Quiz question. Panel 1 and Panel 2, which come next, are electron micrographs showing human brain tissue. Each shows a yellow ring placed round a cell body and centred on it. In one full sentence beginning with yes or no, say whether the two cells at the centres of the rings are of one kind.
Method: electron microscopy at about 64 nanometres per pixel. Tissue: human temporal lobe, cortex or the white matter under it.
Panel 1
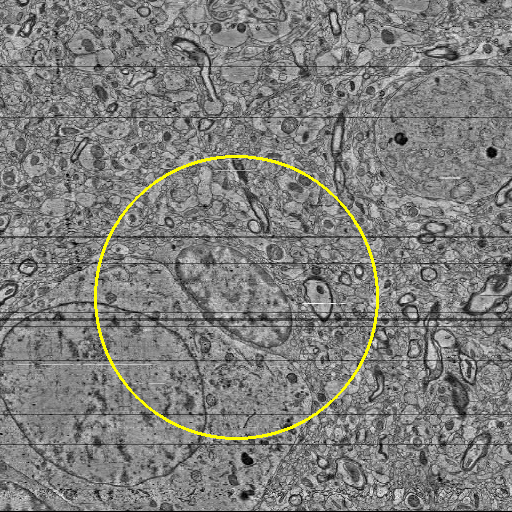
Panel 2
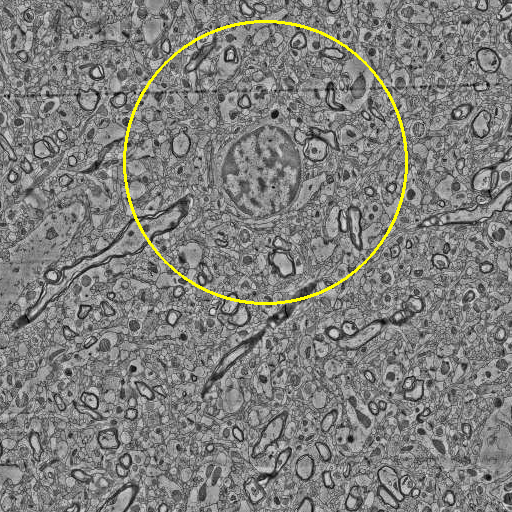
Yes, Panel 1 and Panel 2 show one kind of cell at the centre of the ring.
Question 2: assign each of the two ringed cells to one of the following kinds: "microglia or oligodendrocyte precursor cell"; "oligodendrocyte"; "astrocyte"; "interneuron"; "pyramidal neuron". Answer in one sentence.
Each of the ringed cells, first and second, is an oligodendrocyte.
